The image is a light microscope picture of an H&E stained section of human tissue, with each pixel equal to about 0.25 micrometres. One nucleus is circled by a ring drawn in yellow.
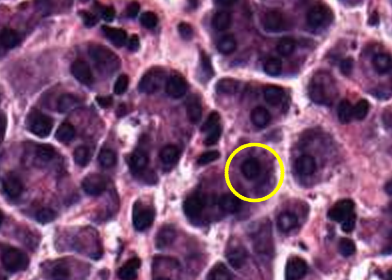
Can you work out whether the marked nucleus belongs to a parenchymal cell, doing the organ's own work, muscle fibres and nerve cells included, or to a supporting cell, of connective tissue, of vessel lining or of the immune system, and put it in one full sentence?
The parenchymal cell with the marked nucleus is a pancreatic acinar cell.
